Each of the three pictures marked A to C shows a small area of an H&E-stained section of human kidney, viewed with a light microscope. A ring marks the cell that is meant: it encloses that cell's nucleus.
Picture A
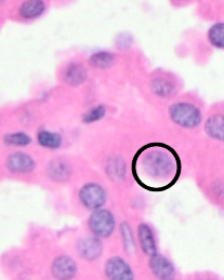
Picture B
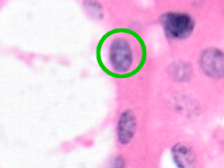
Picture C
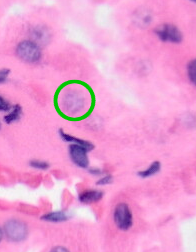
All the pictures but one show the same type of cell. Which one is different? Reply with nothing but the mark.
C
